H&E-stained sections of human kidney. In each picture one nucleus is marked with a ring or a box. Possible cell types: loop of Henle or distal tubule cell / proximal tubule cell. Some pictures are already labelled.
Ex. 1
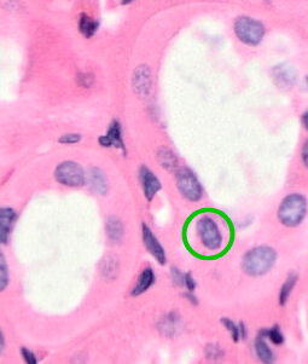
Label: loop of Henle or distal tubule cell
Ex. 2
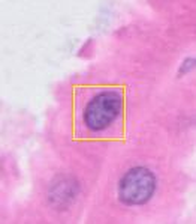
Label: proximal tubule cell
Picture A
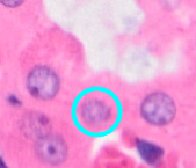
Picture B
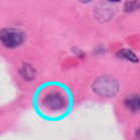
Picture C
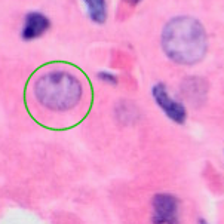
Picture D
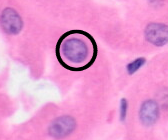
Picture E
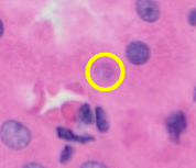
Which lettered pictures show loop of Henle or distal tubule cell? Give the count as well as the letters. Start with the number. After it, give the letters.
Count: 1 (B)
